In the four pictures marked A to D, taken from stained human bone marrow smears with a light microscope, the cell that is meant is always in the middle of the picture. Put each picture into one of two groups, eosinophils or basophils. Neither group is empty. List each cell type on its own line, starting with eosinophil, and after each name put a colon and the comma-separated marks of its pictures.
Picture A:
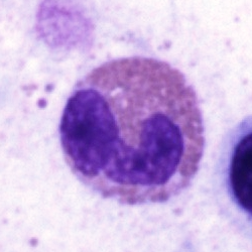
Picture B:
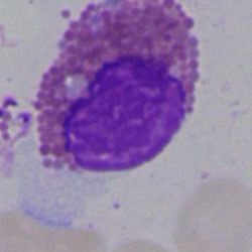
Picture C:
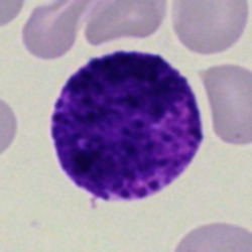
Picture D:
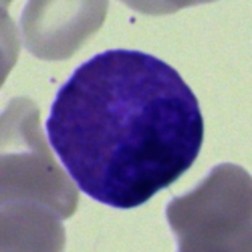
eosinophil: A, B, D
basophil: C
